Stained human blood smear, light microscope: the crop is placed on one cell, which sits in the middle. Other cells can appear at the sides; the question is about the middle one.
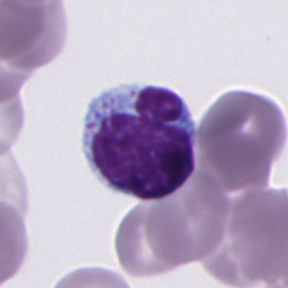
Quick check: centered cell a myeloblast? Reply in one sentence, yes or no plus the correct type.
No, mark the middle cell as a typical lymphocyte, not a myeloblast.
